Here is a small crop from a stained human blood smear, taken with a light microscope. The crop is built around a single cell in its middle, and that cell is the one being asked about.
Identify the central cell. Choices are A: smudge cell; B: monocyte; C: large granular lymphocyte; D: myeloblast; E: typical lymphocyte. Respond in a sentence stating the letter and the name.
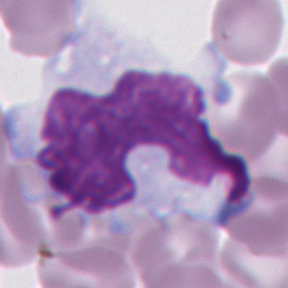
Here the right option is B, as the cell in the middle is a monocyte.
